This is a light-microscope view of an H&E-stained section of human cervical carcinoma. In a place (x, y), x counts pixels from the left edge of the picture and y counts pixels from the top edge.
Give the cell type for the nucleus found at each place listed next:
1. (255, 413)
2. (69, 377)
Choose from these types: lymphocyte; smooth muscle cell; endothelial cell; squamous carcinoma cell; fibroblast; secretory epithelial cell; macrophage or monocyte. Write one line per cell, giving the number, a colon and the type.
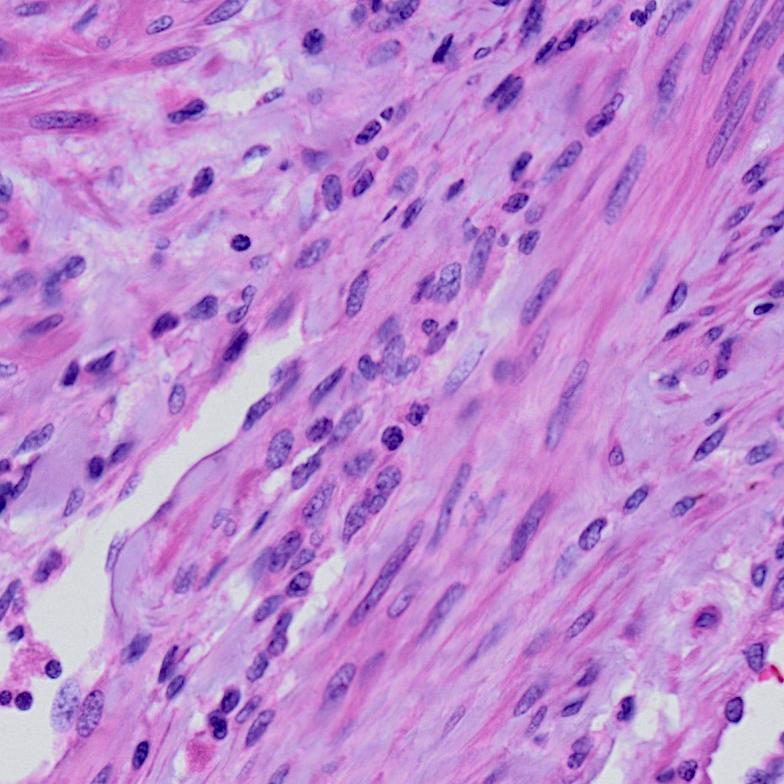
1: endothelial cell
2: lymphocyte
